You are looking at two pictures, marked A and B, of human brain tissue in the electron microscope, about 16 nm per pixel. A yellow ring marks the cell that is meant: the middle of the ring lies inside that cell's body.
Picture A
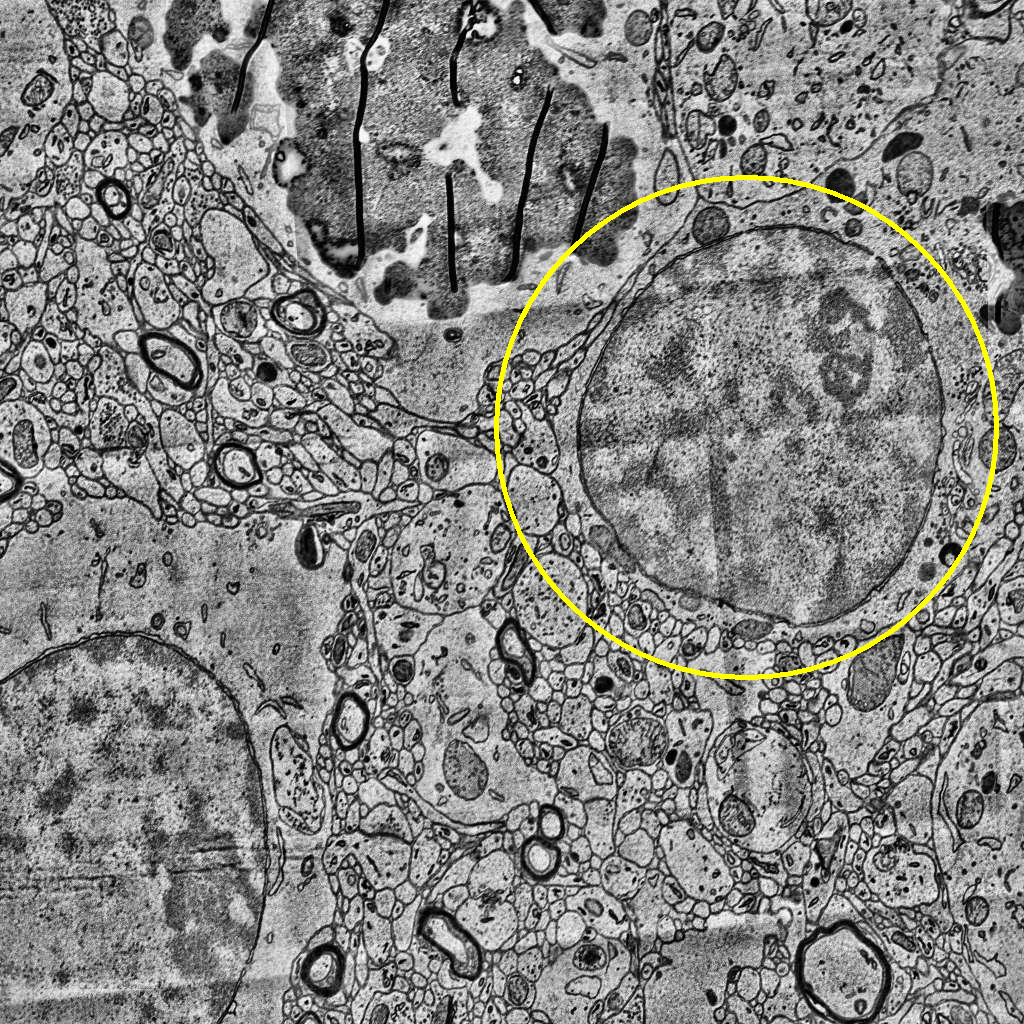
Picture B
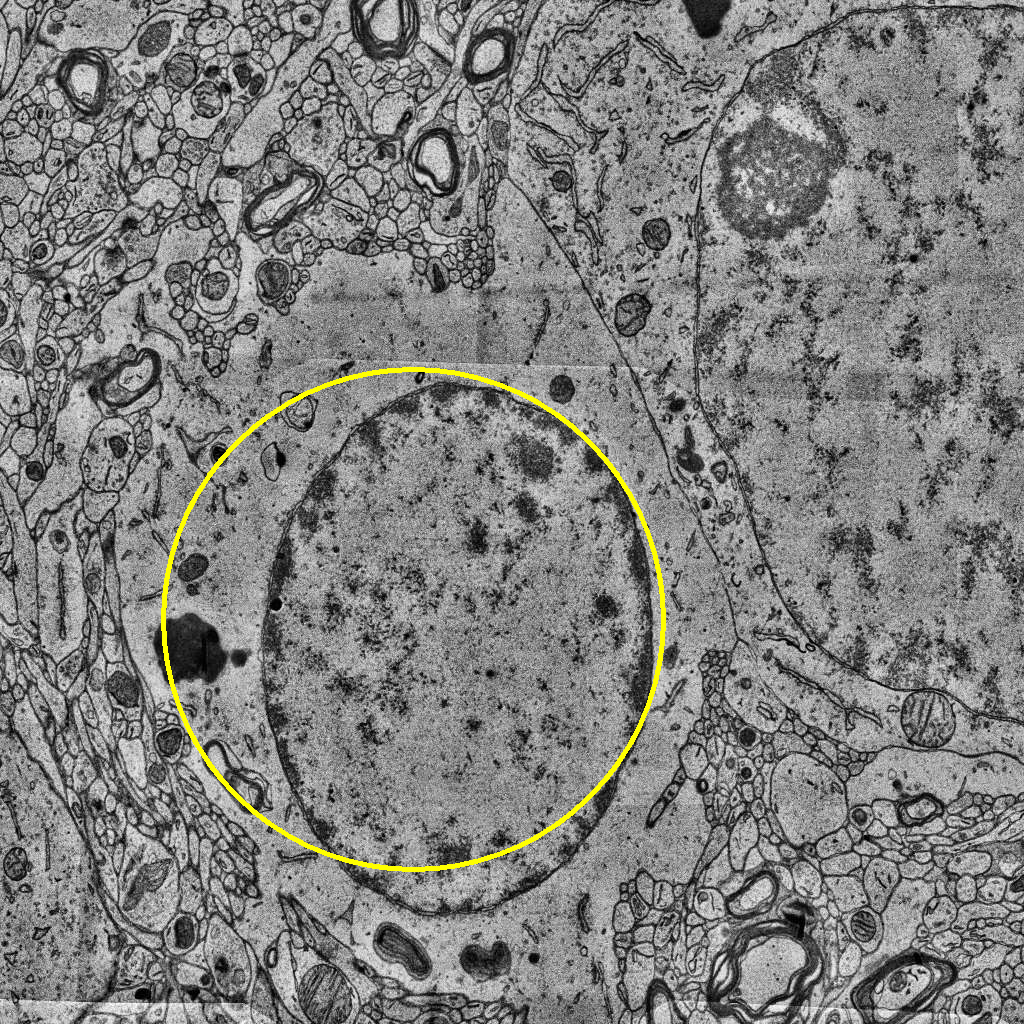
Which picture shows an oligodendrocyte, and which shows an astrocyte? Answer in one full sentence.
It is picture A that shows an oligodendrocyte, and picture B that shows an astrocyte.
